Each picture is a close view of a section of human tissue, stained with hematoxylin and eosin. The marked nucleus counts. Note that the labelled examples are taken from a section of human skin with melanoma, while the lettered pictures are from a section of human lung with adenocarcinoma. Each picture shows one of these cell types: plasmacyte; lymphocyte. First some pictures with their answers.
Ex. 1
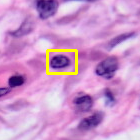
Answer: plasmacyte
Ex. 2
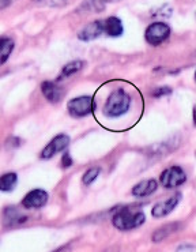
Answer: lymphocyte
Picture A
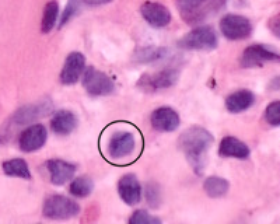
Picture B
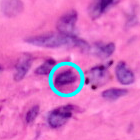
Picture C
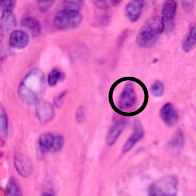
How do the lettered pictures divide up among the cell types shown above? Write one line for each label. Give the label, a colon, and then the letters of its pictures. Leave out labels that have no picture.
plasmacyte: B, C
lymphocyte: A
